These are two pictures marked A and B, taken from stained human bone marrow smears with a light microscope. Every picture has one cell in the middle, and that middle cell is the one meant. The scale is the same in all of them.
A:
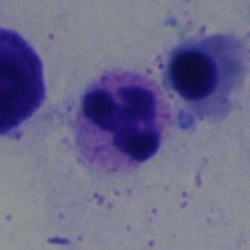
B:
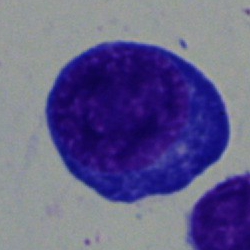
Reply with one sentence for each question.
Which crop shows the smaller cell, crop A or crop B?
Smaller is the cell in crop A, and the other is about 3 times as large in area.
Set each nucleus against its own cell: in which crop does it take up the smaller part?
It is the cell in crop A that is filled less by its nucleus.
